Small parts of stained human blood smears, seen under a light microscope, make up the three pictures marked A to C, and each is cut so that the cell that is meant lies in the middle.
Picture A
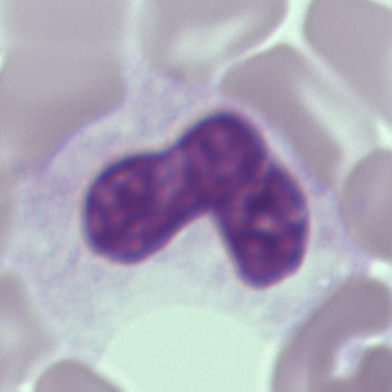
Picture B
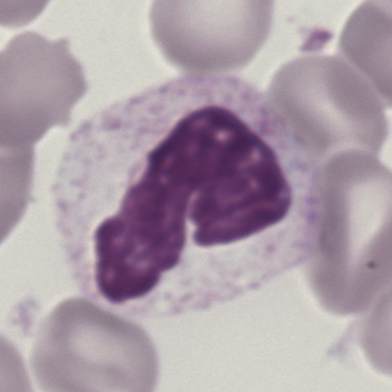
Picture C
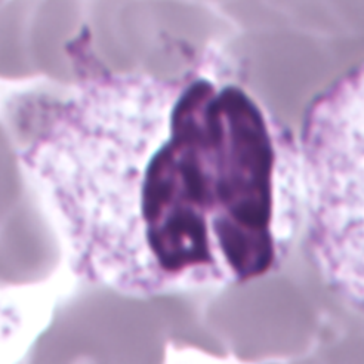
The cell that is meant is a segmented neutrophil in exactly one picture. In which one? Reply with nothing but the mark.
C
